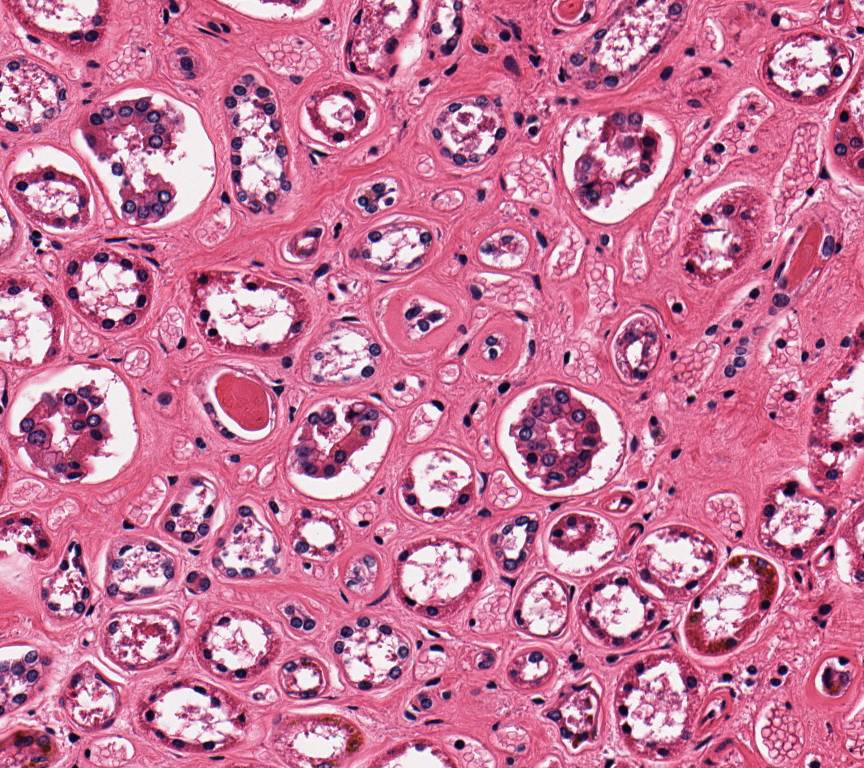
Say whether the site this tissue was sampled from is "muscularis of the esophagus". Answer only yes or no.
no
